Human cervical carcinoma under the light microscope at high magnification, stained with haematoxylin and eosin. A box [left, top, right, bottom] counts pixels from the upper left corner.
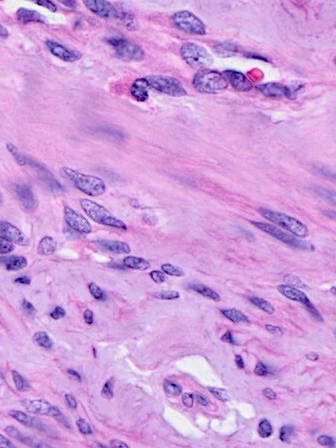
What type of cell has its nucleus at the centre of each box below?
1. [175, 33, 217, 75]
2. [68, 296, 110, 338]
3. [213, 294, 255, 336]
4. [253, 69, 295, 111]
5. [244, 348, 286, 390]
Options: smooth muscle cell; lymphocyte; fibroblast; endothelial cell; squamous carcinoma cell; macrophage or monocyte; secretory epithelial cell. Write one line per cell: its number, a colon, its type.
1: endothelial cell
2: smooth muscle cell
3: smooth muscle cell
4: endothelial cell
5: smooth muscle cell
